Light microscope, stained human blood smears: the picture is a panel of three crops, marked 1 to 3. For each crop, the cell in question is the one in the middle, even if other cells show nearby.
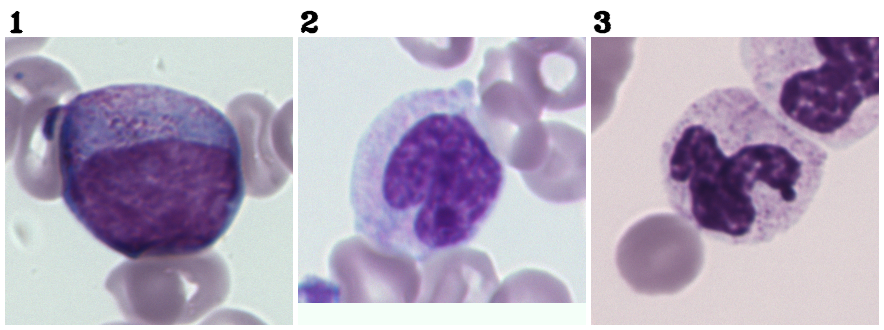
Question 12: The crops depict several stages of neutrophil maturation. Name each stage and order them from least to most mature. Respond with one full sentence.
It is in the order crop 1 (a promyelocyte), crop 2 (a band neutrophil) and crop 3 (a segmented neutrophil) that maturity increases.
